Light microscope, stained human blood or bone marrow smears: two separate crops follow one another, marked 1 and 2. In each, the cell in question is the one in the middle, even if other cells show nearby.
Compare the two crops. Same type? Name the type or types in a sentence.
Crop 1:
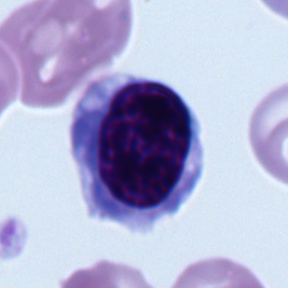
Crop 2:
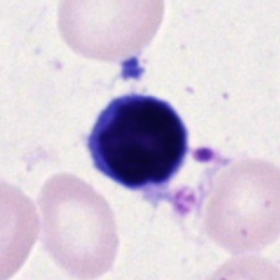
No, crop 1 and crop 2 contain, respectively, an erythroblast and a lymphocyte.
